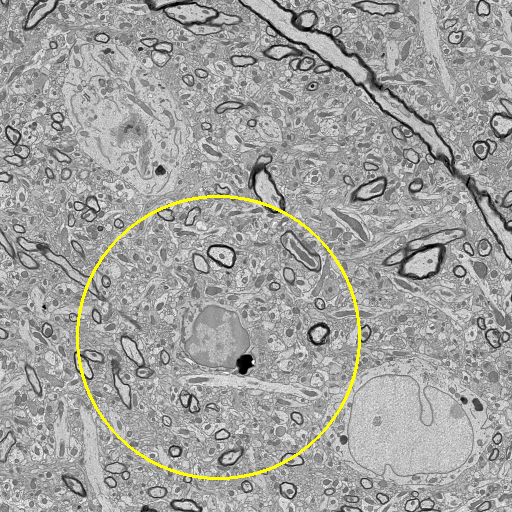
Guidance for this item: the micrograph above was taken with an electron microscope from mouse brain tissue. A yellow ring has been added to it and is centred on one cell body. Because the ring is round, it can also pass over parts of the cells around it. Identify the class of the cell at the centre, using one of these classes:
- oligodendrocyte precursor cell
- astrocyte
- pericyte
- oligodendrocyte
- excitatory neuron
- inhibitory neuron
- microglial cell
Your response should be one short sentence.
The ring surrounds the body of a microglial cell.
